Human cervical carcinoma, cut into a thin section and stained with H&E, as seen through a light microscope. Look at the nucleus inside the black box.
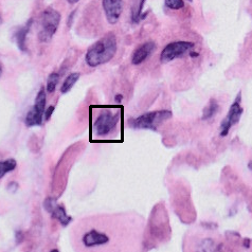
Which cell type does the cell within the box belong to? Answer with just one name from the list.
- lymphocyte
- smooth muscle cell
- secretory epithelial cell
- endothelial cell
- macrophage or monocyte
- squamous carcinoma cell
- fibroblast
macrophage or monocyte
